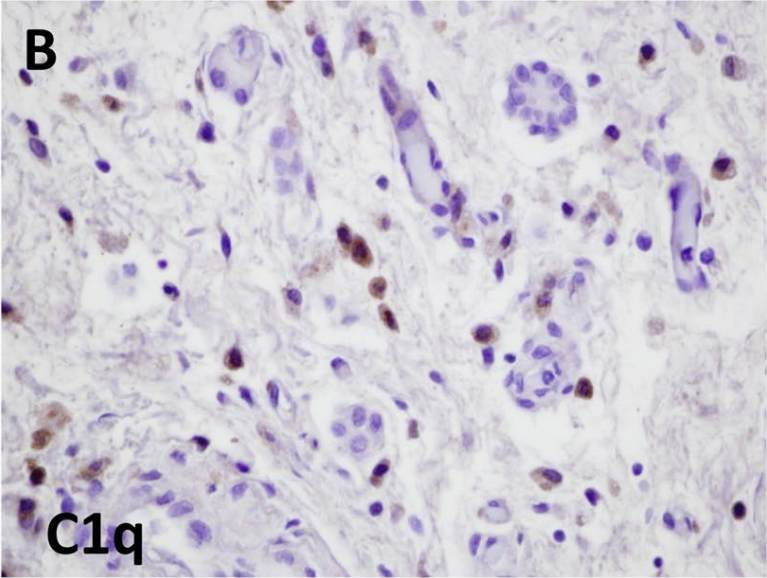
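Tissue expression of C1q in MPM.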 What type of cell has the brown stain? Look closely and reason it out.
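Small round cells are stained dark brown. These brown cells lie singly, scattered through loose stroma. That points to this answer: inflammatory cells.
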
